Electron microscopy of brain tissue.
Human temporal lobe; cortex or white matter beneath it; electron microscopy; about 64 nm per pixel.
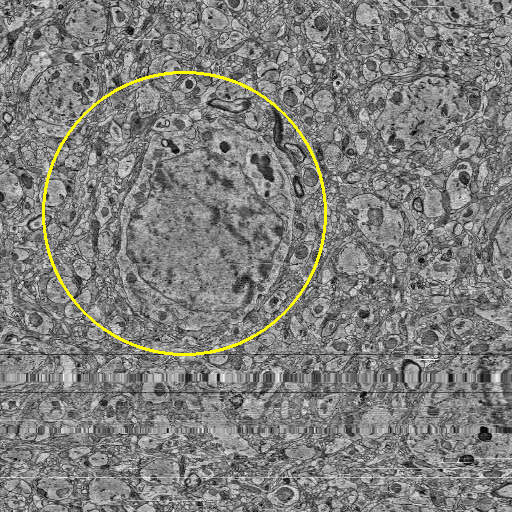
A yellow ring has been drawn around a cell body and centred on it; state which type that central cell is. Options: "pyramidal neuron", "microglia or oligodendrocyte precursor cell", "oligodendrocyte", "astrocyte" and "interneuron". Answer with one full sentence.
The cell at the middle of the yellow ring is an interneuron in this picture.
